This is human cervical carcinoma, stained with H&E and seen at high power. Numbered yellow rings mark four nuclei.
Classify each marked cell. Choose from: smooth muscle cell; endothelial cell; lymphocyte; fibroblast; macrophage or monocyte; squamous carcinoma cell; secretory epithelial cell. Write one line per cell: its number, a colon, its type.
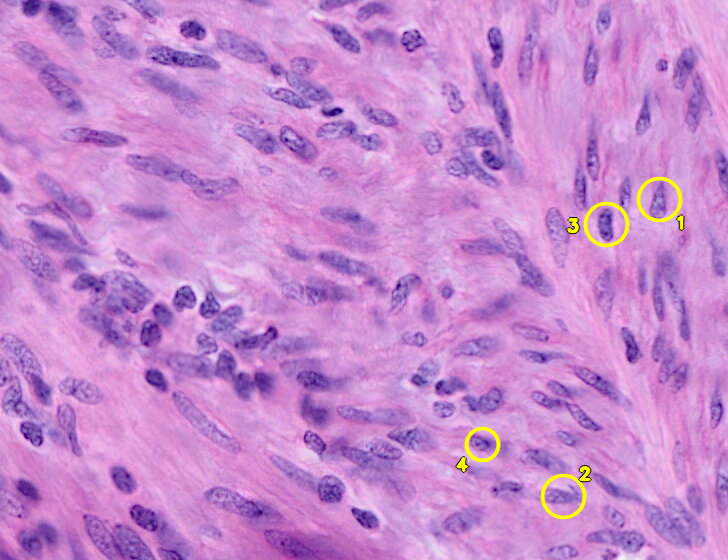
1: smooth muscle cell
2: smooth muscle cell
3: lymphocyte
4: smooth muscle cell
